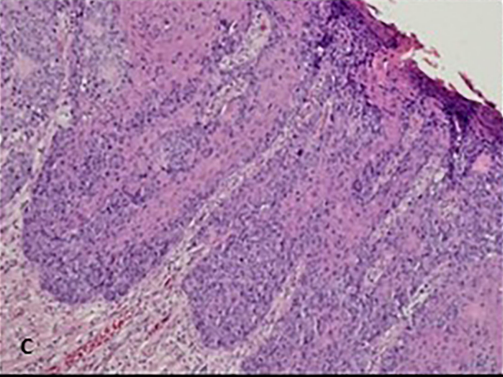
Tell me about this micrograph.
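Skin over a tumour shows clusters of malignant cells spreading within the lower epidermis along the dermo-epidermal junction, forming broad bulging nests. Keratinized surface epidermis lies above, and fibrous dermis with vessels lies below.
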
